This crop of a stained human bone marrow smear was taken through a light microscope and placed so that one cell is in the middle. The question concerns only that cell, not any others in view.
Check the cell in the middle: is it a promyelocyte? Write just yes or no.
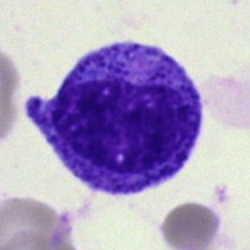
yes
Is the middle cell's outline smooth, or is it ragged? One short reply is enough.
The contour of the cell is interrupted by ragged areas or by projections.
